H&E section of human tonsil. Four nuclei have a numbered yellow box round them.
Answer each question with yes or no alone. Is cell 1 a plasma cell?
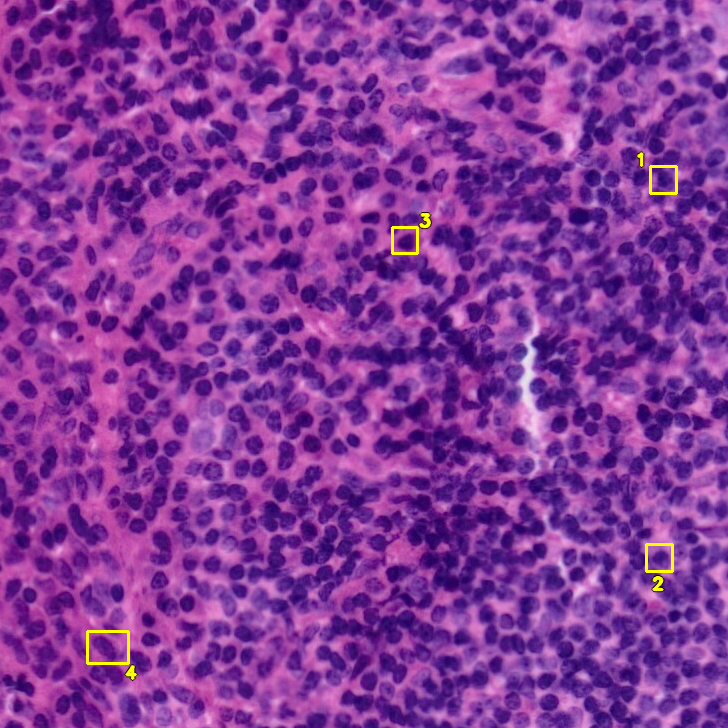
no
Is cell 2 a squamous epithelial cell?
no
